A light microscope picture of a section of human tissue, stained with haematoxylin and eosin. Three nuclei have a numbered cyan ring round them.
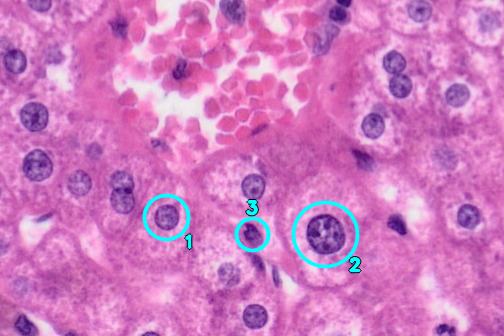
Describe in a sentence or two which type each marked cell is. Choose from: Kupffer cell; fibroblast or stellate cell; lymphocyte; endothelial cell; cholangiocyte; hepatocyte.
Cell 1 is a hepatocyte, cell 2 is a hepatocyte and cell 3 is a Kupffer cell.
